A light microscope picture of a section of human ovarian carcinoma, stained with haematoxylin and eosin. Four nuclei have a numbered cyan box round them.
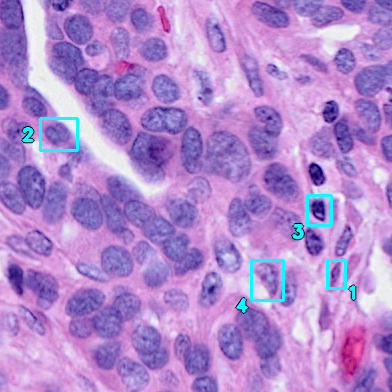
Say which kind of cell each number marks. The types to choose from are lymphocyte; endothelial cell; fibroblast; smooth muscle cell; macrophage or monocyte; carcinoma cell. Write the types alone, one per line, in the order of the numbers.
fibroblast
carcinoma cell
lymphocyte
fibroblast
